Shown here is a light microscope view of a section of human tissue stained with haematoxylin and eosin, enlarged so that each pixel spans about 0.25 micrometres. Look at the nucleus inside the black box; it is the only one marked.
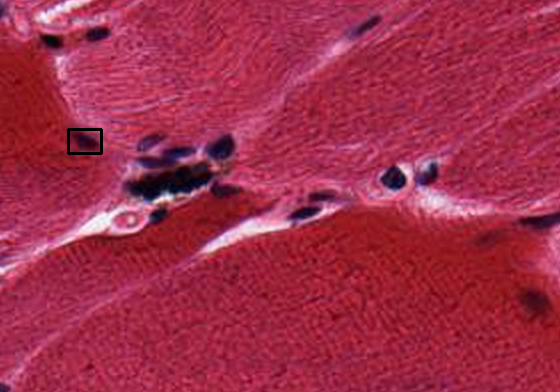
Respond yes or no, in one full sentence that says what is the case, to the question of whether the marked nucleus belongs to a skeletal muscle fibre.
Yes, the marked nucleus is held by a skeletal muscle fibre.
